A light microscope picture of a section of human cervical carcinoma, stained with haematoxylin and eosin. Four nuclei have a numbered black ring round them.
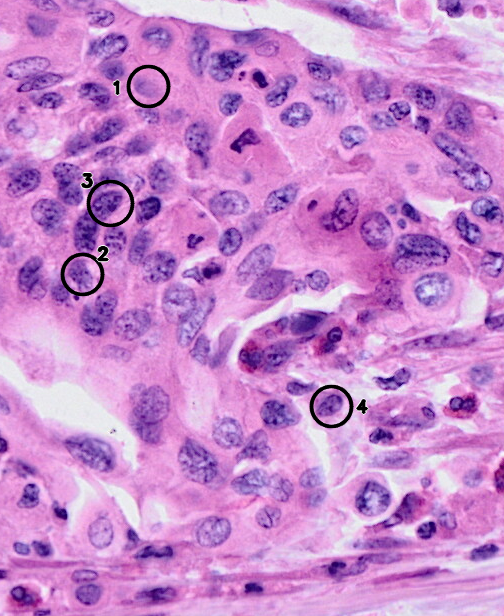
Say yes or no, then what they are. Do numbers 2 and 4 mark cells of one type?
No, cell 2 should be called a squamous carcinoma cell, and cell 4 should be called a macrophage or monocyte.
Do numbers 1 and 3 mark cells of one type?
Yes, cells 1 and 3 both fall under squamous carcinoma cells.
